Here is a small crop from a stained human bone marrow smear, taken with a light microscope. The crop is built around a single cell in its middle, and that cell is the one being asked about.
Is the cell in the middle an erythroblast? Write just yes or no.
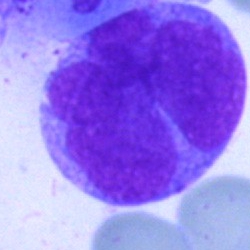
no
